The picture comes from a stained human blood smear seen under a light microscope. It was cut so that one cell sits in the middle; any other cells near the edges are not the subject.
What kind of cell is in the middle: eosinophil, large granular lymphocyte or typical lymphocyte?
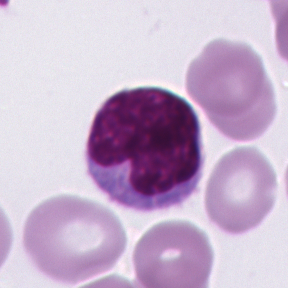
typical lymphocyte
